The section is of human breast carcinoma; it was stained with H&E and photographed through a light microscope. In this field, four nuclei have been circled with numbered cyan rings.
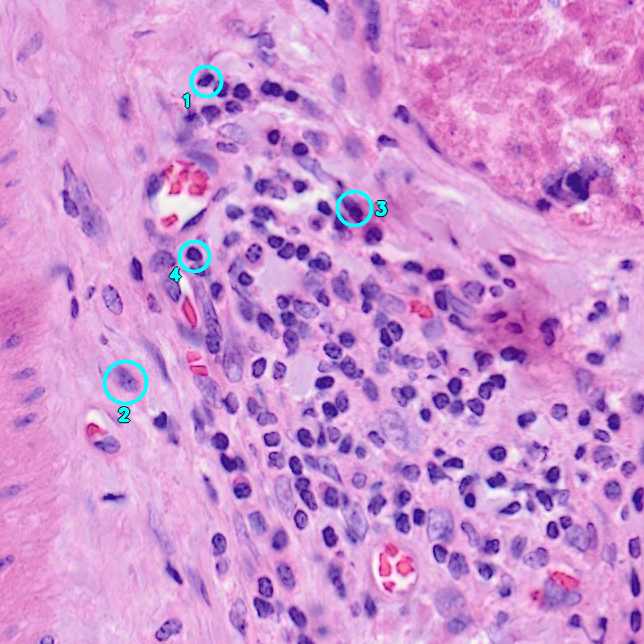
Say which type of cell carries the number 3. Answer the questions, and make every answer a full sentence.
The cell carrying label 3 is identified as a lymphocyte.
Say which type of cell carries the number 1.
Identified by the number 1, the cell is a lymphocyte.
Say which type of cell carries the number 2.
In this section, the cell numbered 2 is a mast cell.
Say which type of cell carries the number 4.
Here, the cell given the number 4 is a lymphocyte.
